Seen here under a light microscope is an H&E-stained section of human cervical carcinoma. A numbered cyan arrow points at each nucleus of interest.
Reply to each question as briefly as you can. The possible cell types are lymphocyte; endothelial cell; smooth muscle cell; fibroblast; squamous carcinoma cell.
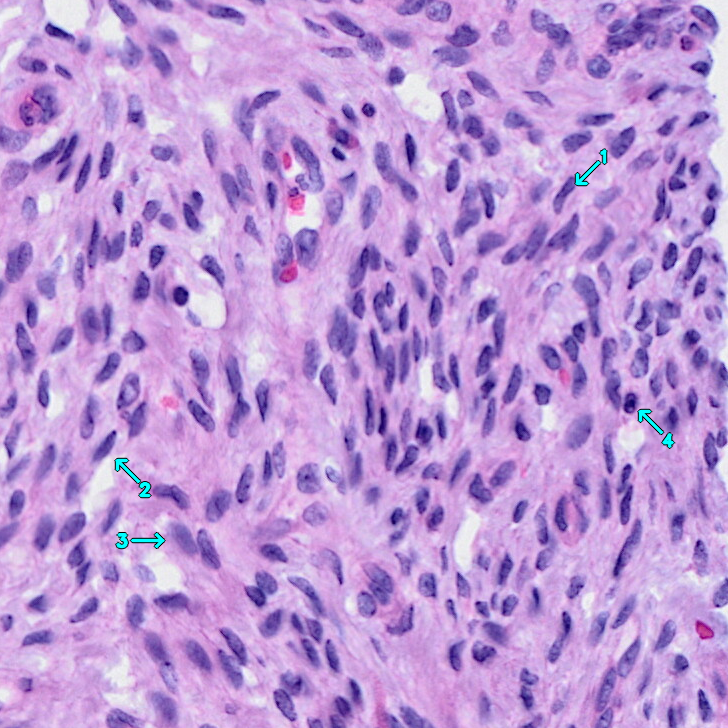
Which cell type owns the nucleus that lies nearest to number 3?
fibroblast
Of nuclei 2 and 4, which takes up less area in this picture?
4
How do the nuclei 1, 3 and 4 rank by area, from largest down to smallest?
3, 1, 4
